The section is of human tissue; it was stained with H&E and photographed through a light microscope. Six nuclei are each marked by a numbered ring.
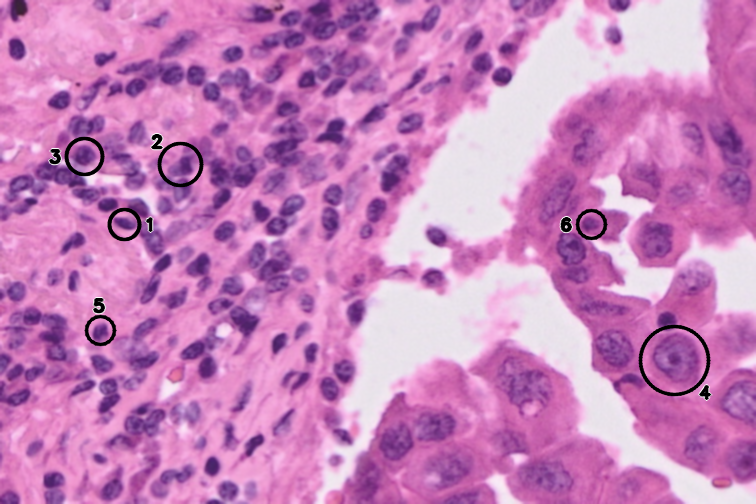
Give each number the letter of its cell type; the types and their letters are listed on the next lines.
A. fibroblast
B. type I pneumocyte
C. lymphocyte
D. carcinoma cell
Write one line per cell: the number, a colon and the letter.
1: C
2: C
3: C
4: D
5: C
6: D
